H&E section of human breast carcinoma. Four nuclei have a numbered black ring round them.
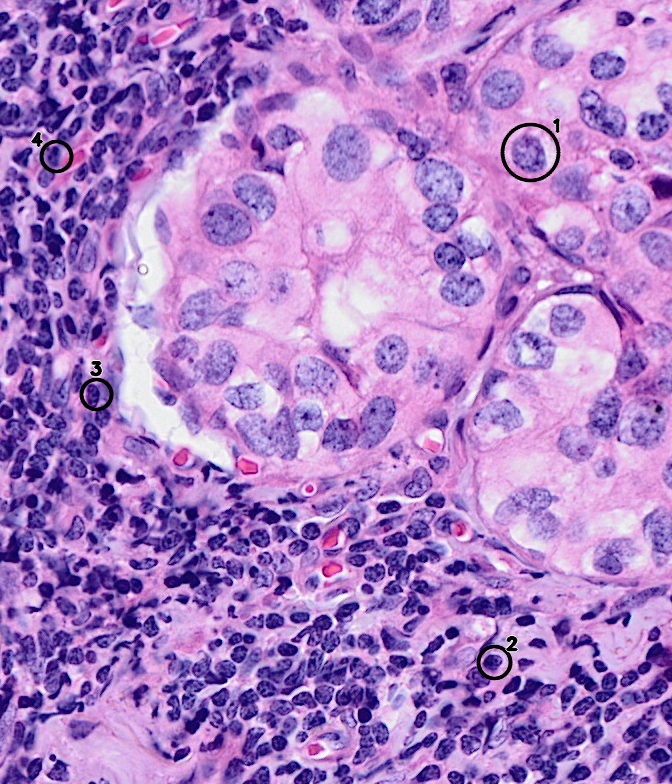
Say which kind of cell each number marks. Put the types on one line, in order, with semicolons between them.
carcinoma cell; lymphocyte; lymphocyte; lymphocyte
